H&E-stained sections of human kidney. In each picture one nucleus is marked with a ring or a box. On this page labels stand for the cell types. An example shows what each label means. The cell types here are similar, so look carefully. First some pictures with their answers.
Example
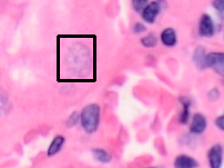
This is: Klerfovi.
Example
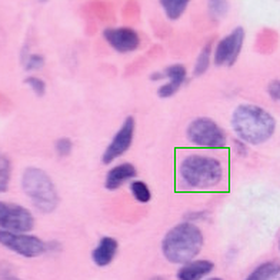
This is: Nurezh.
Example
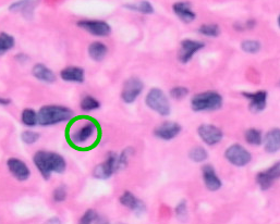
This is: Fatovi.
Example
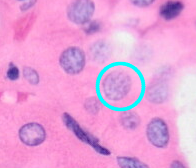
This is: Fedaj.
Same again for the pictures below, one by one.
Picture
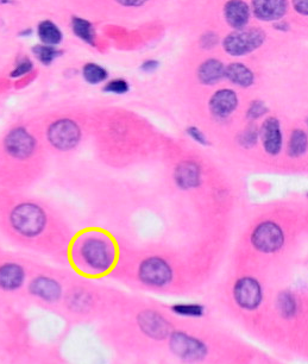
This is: Klerfovi.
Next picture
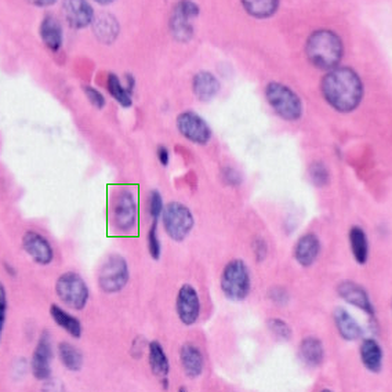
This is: Fedaj.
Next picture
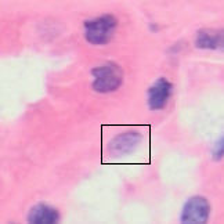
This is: Fedaj.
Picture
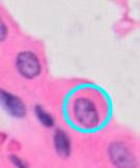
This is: Klerfovi.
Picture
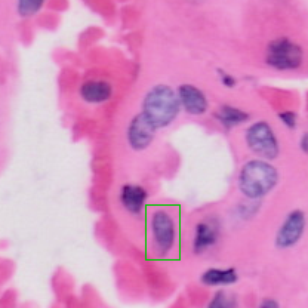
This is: Nurezh.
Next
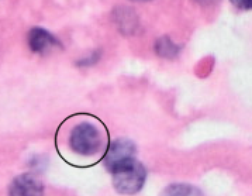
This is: Fedaj.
